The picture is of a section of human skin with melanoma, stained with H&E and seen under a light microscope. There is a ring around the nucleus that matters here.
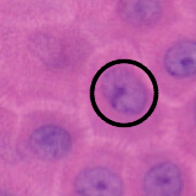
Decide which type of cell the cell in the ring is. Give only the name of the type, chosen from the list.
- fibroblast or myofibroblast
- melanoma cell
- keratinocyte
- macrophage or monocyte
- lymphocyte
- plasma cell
keratinocyte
